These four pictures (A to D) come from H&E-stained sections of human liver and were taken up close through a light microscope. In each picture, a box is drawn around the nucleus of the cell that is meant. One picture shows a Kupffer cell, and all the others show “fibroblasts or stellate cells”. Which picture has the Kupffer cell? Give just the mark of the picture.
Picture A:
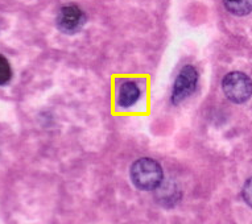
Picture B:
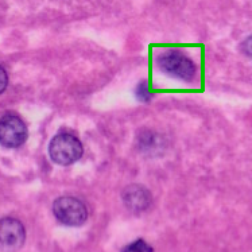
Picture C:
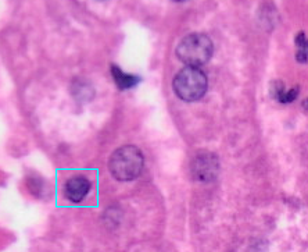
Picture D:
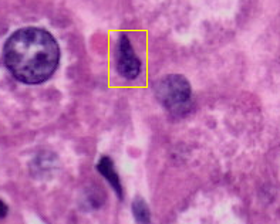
B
